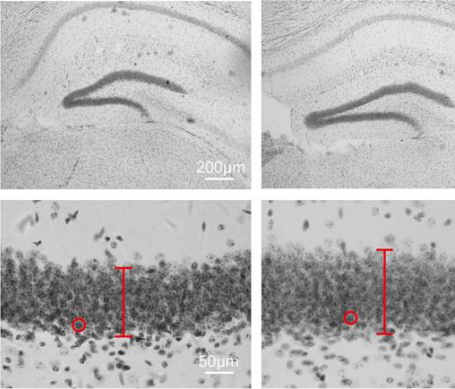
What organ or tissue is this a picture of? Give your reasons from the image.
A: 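Dentate gyrus. The upper images show a dark, densely cellular band folded into a V or C shape. A thinner curved cell band arcs above and around it, as in a hippocampal section.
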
